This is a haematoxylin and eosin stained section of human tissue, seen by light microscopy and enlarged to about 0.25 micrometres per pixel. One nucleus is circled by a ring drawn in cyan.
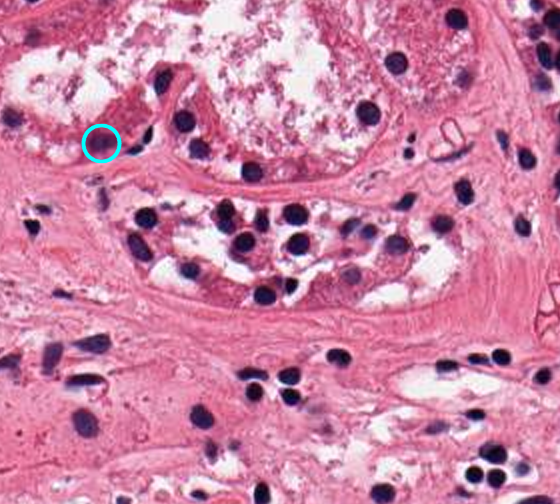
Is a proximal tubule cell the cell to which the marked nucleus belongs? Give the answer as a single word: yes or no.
yes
